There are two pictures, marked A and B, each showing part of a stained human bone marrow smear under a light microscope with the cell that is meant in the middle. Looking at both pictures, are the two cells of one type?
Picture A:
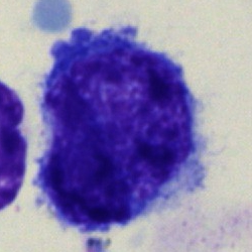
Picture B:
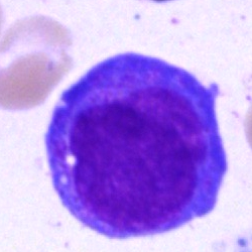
yes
